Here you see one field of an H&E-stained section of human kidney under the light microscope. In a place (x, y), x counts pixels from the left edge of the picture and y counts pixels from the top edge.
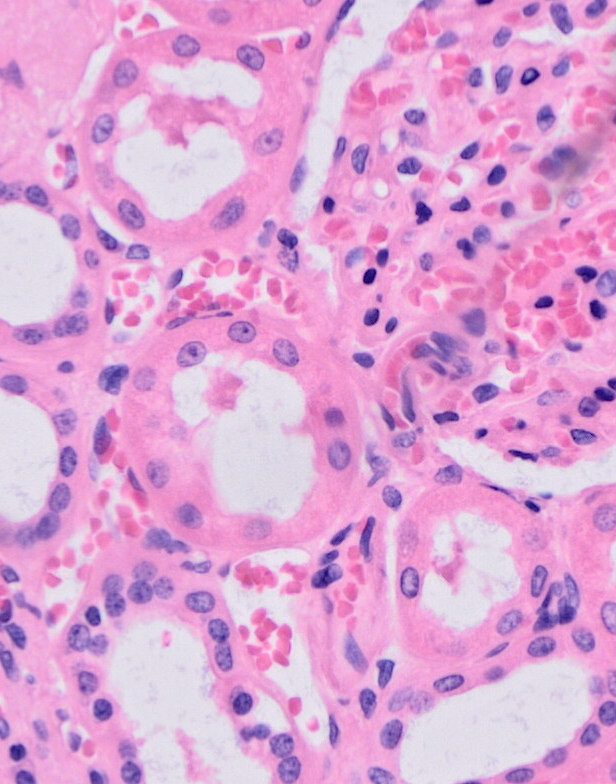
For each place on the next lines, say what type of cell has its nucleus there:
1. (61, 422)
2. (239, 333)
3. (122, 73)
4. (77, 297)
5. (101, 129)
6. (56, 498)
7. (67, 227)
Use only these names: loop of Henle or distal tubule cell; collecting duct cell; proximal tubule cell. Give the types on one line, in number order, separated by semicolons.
collecting duct cell; proximal tubule cell; proximal tubule cell; collecting duct cell; proximal tubule cell; collecting duct cell; collecting duct cell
